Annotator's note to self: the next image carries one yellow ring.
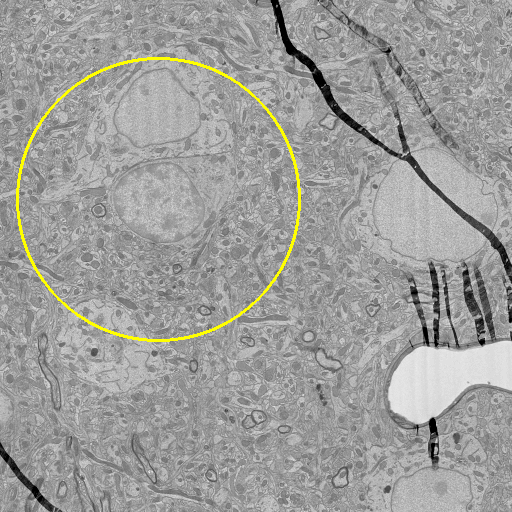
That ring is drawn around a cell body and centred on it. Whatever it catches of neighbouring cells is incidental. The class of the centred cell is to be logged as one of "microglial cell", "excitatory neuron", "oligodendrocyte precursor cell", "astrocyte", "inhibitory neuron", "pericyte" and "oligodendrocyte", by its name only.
oligodendrocyte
